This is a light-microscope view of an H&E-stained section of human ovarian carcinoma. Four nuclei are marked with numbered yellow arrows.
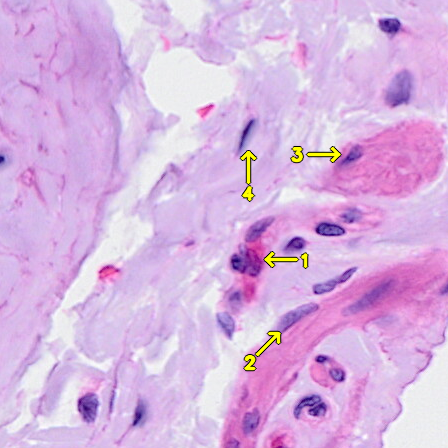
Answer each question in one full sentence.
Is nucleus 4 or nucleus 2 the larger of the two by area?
The larger nucleus is 2, at roughly 2 times the area of 4.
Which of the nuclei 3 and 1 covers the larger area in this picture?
Nucleus 1 covers more area, about 3 times as much as nucleus 3.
